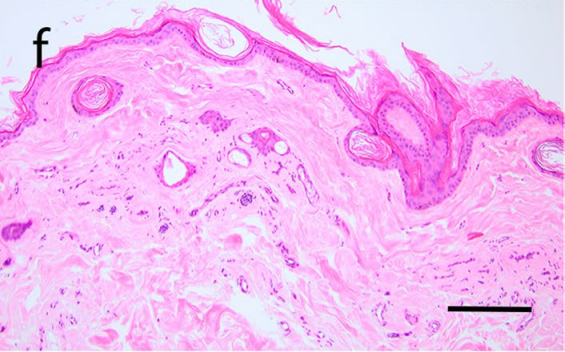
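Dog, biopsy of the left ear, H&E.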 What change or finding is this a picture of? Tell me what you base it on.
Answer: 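Hair follicles are few and small, mostly confined to just beneath the epidermis. No deep, large anagen hair bulbs are present in the dermis. The dermis is largely occupied by pale pink collagen.
Conclusion: severe follicular atrophy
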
